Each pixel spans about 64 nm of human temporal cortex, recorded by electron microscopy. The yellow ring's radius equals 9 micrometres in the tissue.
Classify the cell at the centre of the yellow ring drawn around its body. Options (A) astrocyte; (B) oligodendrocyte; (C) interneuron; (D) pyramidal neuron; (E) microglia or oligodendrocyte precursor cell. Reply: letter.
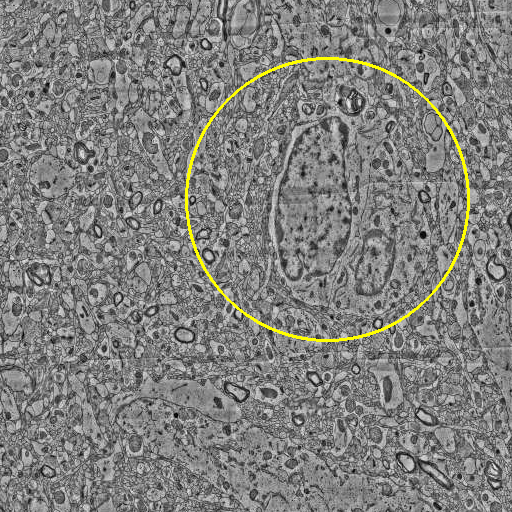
E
